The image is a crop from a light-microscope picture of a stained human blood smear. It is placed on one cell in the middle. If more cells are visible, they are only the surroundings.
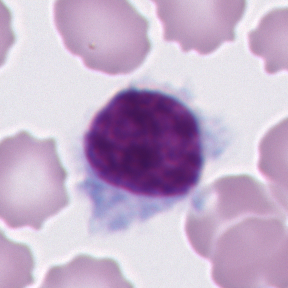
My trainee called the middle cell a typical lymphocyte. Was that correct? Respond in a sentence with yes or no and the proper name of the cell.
No, the cell in the middle of the field is a hairy cell, not a typical lymphocyte as suggested.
